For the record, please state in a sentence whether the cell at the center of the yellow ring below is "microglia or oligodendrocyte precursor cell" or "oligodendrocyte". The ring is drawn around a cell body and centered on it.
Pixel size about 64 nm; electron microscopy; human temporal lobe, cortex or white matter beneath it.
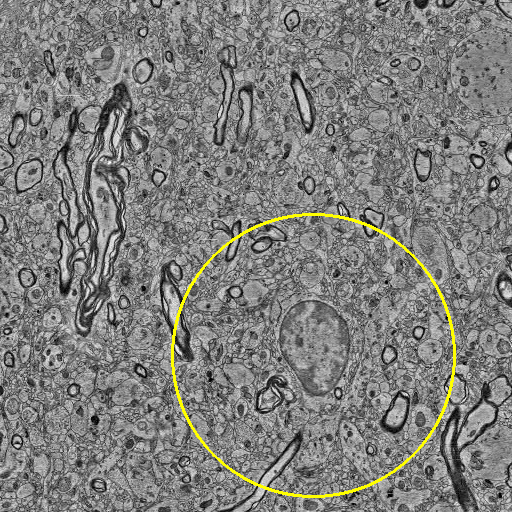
The cell at the ring's center is a microglial cell or oligodendrocyte precursor cell.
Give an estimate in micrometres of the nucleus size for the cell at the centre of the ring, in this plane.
In this plane the nucleus measures roughly 6 by 4 micrometres.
